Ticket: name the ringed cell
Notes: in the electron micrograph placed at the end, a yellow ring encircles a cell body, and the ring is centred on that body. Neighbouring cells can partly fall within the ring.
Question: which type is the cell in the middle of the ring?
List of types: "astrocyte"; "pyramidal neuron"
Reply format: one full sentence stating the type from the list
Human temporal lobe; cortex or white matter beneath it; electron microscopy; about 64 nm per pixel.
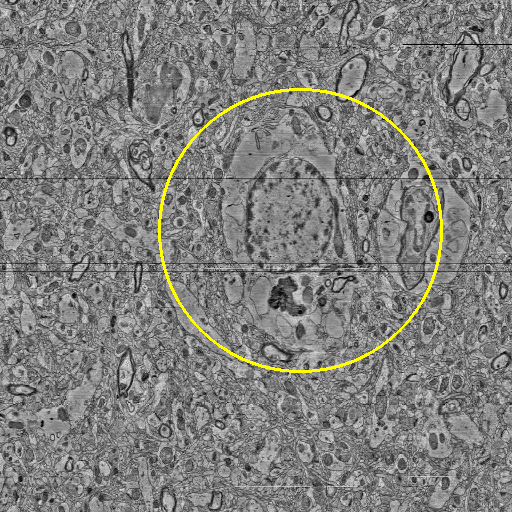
The cell sitting at the centre of the yellow ring is an astrocyte.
